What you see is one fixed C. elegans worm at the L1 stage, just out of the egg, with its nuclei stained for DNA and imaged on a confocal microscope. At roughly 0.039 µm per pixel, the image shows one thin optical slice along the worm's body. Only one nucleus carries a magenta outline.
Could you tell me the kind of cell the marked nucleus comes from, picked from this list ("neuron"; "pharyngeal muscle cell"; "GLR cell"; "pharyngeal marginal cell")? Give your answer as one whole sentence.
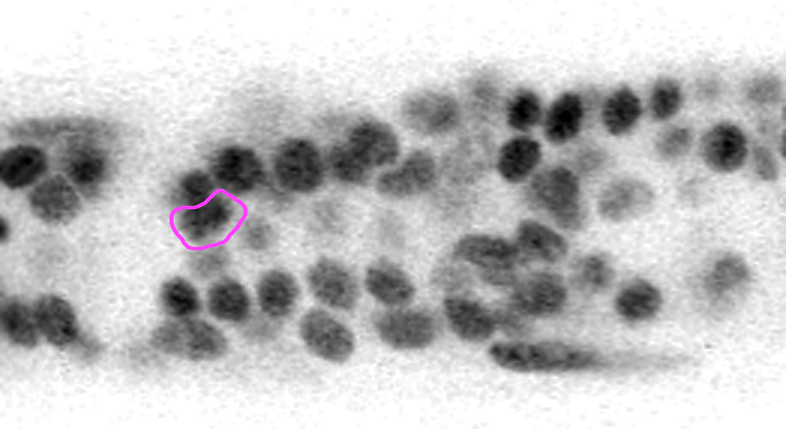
The cell with the marked nucleus is a GLR cell.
